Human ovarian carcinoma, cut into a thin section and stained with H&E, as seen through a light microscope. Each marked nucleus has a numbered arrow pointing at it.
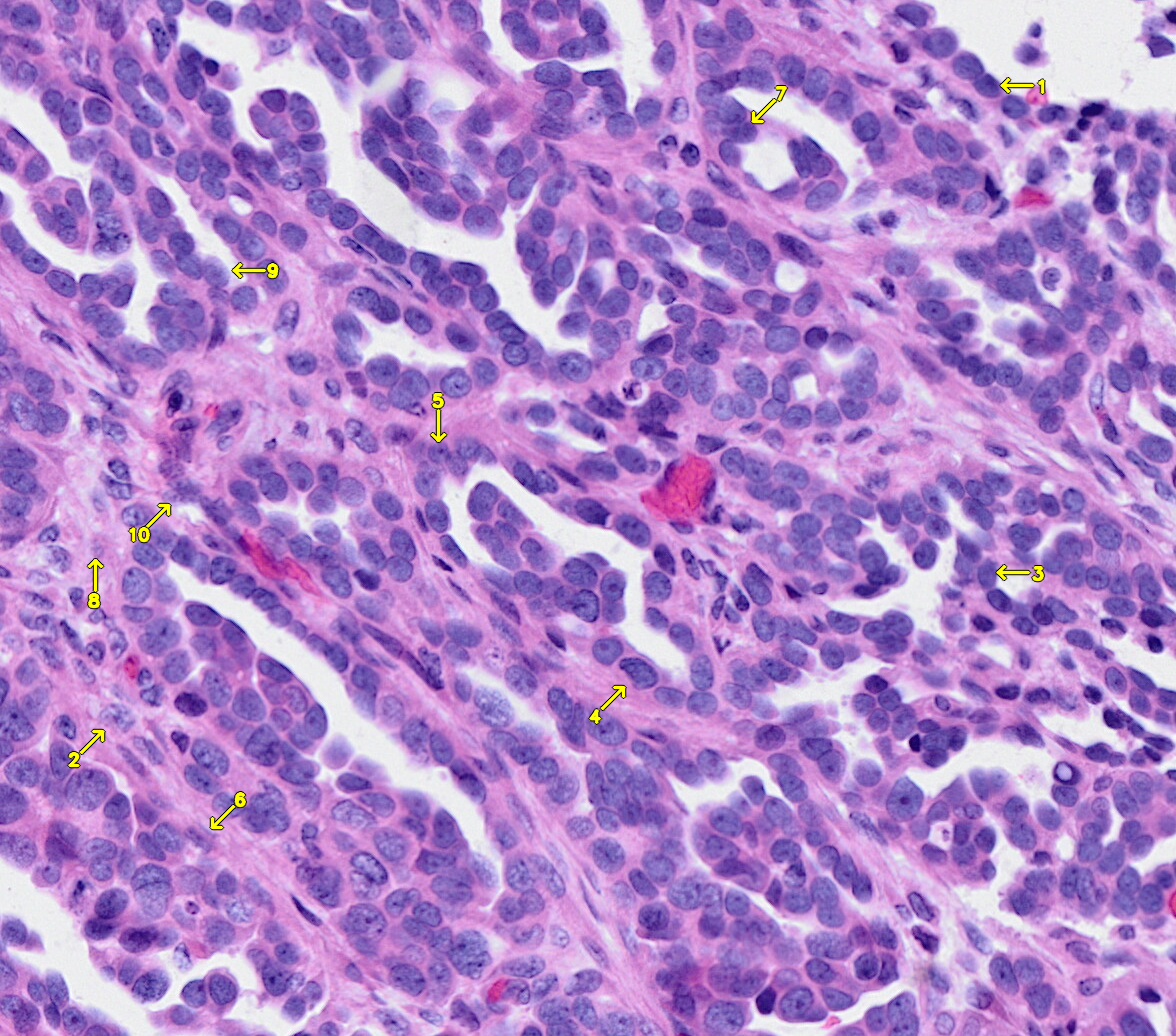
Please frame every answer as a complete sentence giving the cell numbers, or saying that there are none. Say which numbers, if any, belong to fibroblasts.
Identified as fibroblasts are the cells numbered 2, 6, 8 and 10.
